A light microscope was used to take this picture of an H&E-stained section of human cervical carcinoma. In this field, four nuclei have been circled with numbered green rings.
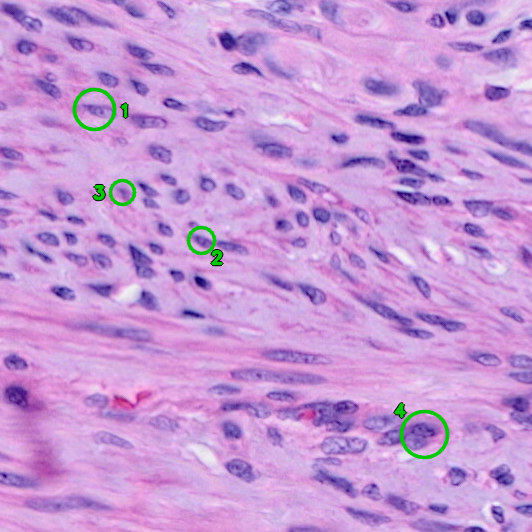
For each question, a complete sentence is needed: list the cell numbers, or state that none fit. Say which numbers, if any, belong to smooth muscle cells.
Regarding the numbered cells 1, 2 and 3, these are smooth muscle cells.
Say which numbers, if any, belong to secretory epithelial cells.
To be brief, no numbered cell here counts among the secretory epithelial cells.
